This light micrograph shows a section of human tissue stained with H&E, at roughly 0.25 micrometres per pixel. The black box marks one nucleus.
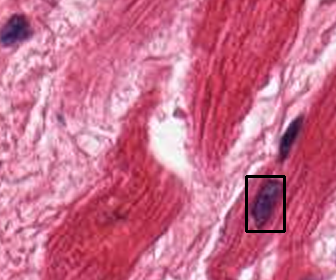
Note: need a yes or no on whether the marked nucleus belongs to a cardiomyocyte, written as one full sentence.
Yes, the cell to which the marked nucleus belongs is a cardiomyocyte.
